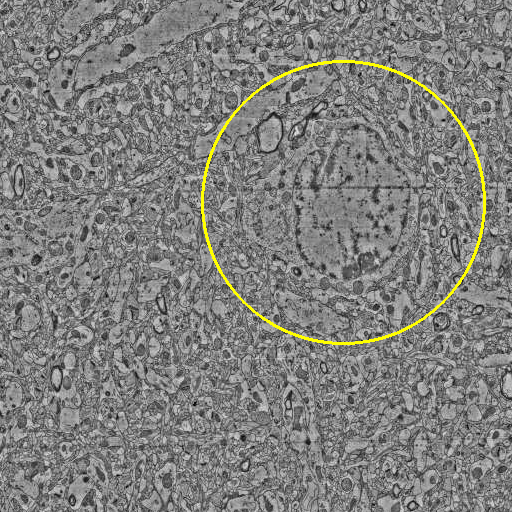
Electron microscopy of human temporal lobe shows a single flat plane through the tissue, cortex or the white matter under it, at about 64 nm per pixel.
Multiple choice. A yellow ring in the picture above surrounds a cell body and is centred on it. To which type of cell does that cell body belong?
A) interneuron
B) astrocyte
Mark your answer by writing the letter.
A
